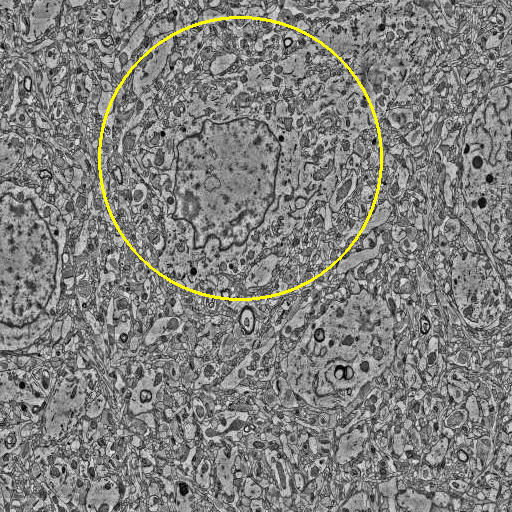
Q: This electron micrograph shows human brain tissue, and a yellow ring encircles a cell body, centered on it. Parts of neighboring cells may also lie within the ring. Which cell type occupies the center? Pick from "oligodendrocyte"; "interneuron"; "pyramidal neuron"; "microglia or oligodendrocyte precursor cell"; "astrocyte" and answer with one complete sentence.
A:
What sits at the ring's center in this micrograph is a pyramidal neuron, among those choices.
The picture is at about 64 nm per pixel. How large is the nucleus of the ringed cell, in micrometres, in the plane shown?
Roughly 9 by 7 micrometres is the size of the nucleus in this plane.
